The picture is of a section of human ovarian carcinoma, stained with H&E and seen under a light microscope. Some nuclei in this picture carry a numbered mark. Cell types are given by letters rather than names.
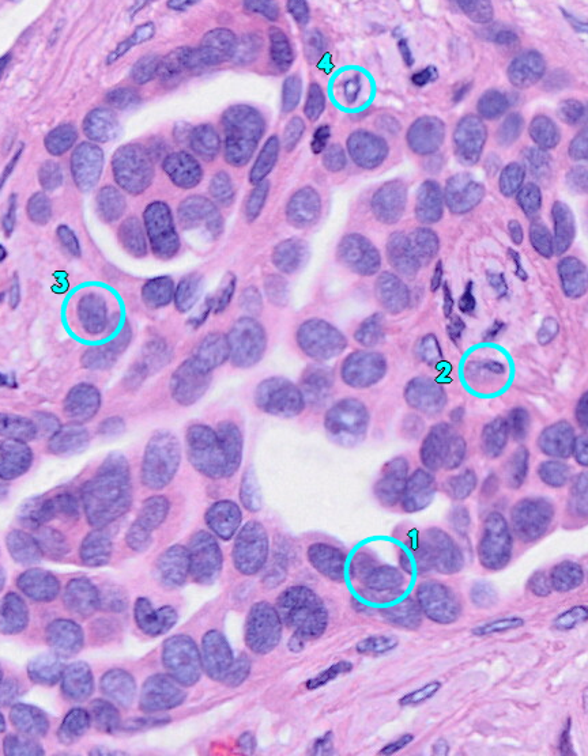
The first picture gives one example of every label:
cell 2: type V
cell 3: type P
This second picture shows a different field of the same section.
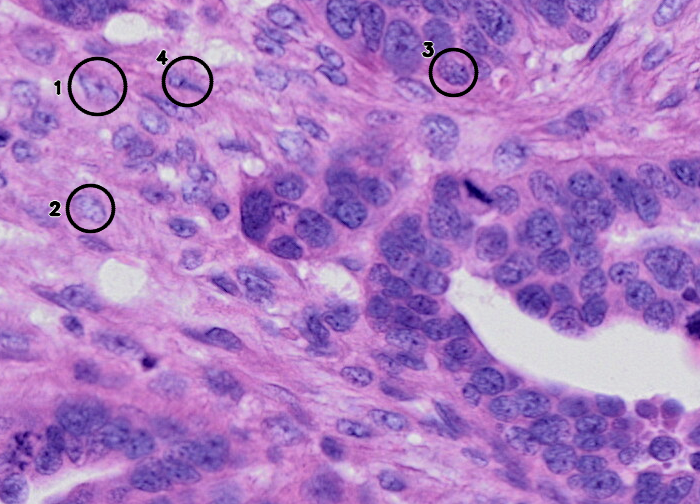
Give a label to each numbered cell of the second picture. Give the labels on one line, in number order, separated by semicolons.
type V; type V; type P; type V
